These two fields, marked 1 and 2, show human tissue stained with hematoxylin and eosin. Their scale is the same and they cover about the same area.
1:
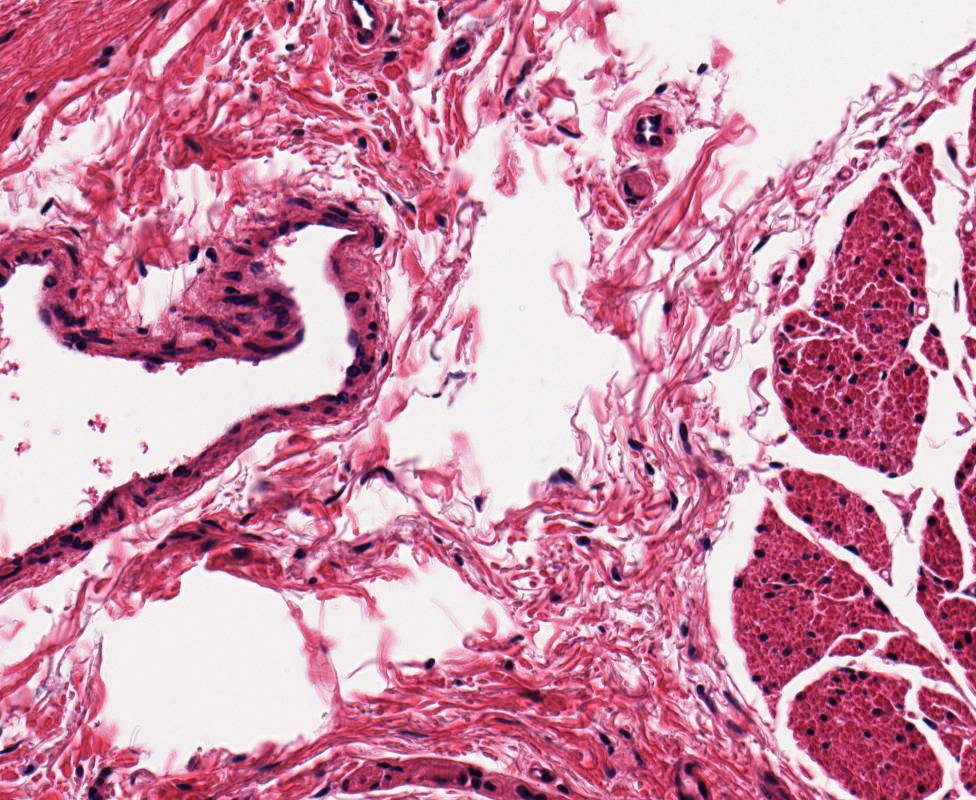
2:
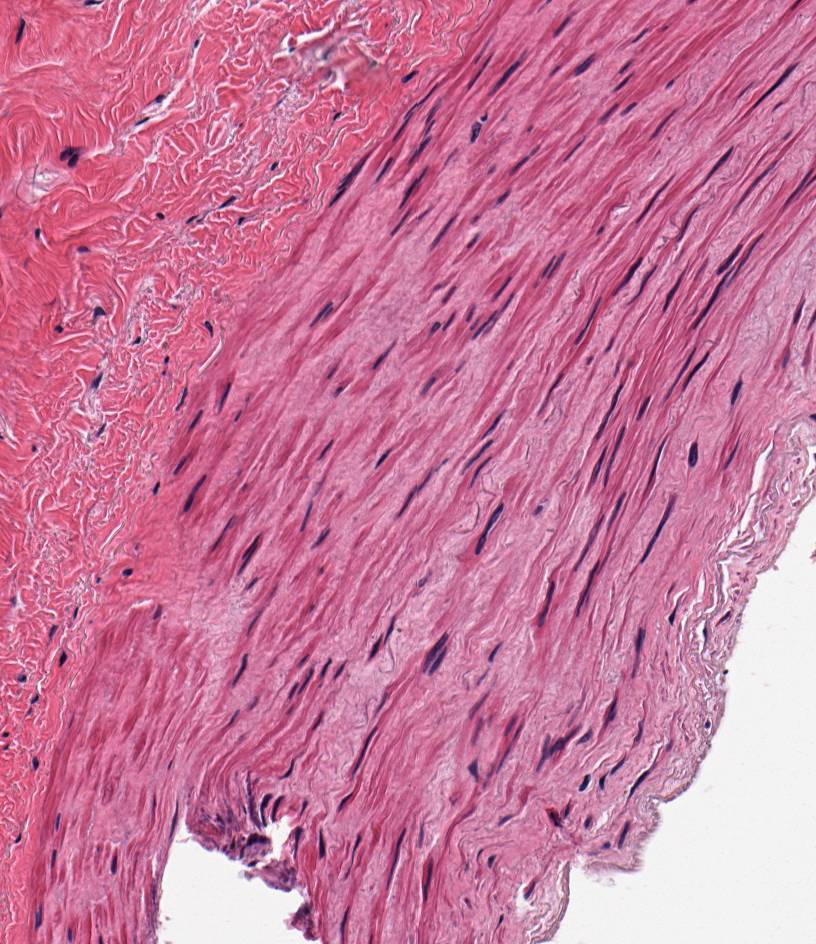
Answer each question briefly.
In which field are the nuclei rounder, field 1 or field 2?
1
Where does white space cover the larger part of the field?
1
